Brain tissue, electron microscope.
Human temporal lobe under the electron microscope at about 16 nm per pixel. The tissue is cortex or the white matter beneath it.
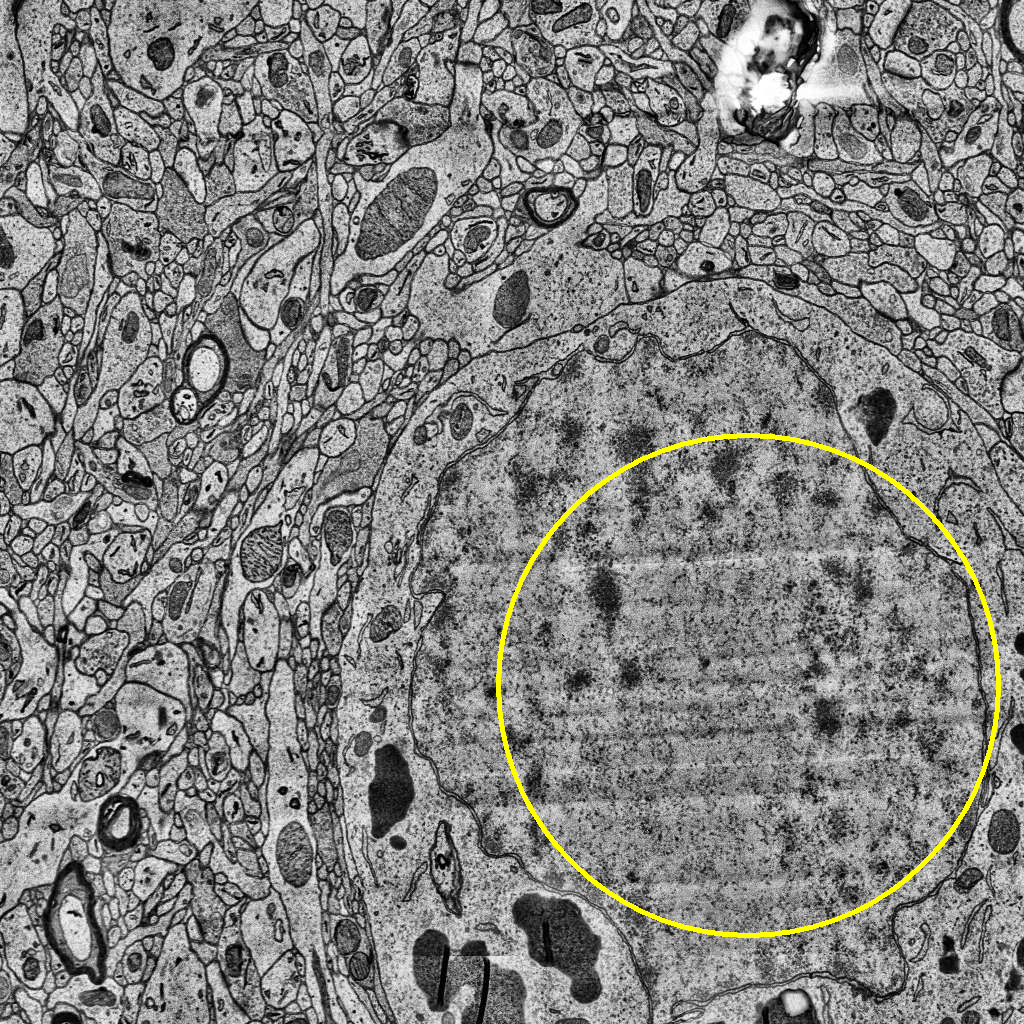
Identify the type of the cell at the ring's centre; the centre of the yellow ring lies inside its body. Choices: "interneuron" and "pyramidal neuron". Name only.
interneuron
